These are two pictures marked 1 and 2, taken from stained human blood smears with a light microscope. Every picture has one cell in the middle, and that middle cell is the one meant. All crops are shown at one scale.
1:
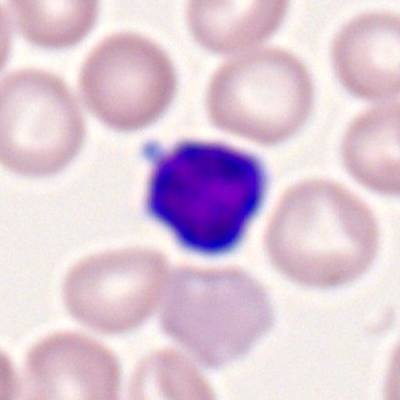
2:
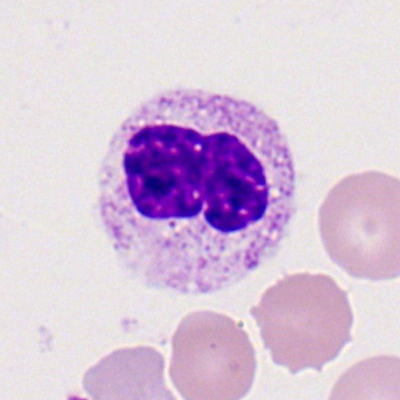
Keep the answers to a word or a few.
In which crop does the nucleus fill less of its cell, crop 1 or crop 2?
2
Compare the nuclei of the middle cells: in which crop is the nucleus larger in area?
2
